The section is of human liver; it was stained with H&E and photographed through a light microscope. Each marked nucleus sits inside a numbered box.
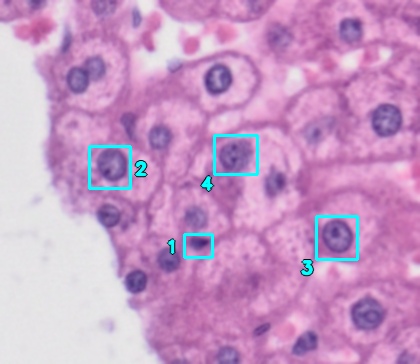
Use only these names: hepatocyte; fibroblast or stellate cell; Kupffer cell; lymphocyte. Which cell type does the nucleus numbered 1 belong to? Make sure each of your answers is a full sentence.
The expected answer is that cell 1 is a fibroblast or stellate cell.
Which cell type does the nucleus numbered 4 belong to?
What the number 4 marks in this field is a hepatocyte.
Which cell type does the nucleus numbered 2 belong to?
The cell bearing label 2 corresponds to a hepatocyte.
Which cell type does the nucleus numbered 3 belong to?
Here the cell numbered 3 is a hepatocyte.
